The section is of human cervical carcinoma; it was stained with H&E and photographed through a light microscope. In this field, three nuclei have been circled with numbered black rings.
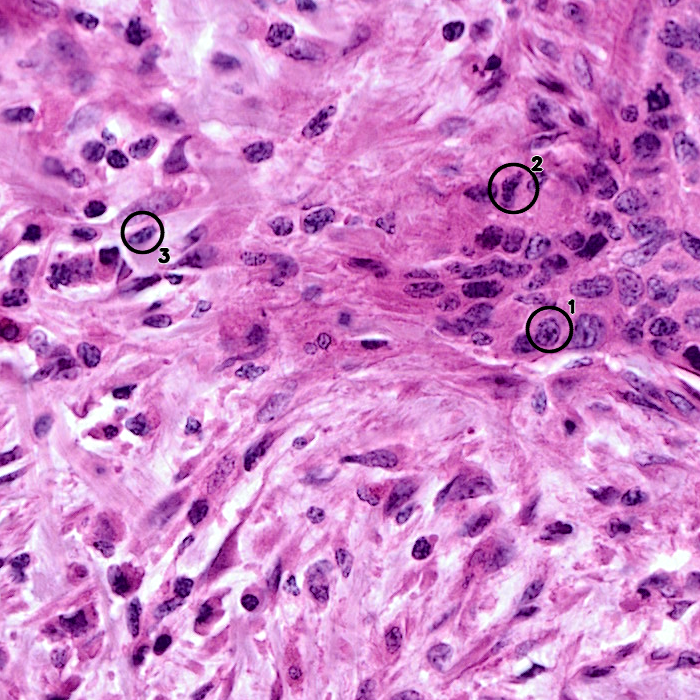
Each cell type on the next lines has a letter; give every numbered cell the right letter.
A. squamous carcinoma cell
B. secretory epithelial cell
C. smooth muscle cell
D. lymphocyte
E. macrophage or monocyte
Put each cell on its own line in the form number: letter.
1: A
2: A
3: D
